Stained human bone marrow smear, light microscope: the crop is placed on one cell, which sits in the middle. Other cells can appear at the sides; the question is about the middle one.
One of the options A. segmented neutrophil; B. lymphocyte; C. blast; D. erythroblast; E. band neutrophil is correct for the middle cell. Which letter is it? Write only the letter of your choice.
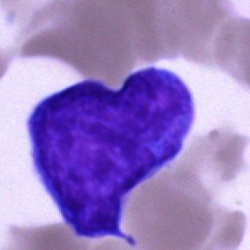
C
